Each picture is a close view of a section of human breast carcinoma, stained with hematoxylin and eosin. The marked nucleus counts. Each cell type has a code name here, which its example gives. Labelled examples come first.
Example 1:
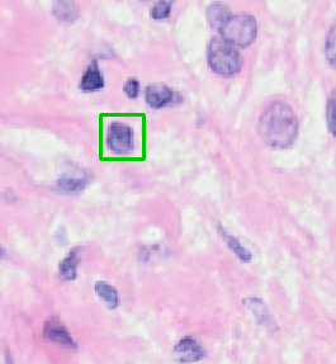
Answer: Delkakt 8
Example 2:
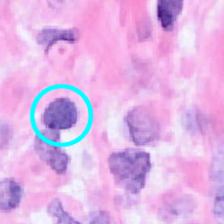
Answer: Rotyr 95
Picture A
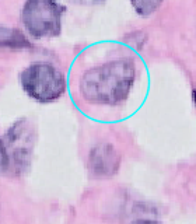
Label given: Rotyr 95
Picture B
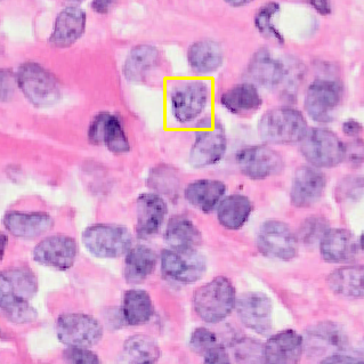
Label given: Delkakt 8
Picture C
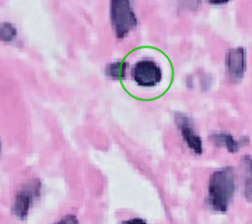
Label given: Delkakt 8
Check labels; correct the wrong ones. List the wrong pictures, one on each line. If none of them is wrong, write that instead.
B: change Delkakt 8 to Rotyr 95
